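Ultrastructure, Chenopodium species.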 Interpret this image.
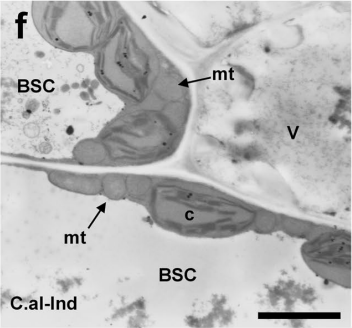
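Elongated chloroplasts with stacked internal membranes lie against the cell walls. Groups of mitochondria, smaller and rounded with a grey matrix, lie beside the chloroplasts along the walls. A pale region of a vascular bundle lies at one corner, bounded by thin cell walls.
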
